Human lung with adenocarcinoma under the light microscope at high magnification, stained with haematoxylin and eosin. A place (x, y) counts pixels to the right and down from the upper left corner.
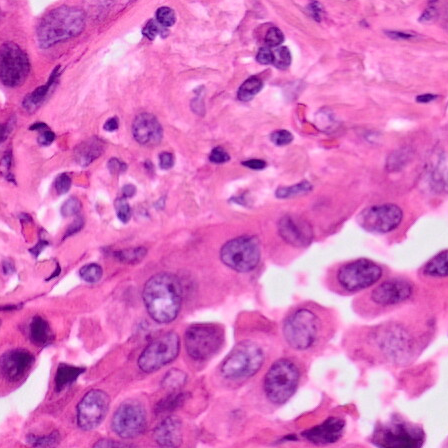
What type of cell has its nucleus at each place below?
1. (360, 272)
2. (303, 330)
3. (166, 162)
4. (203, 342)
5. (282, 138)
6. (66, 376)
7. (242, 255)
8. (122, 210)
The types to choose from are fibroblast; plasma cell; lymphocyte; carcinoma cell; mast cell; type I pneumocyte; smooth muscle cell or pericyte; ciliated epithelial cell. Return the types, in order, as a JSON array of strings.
["carcinoma cell", "carcinoma cell", "lymphocyte", "carcinoma cell", "lymphocyte", "carcinoma cell", "carcinoma cell", "lymphocyte"]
